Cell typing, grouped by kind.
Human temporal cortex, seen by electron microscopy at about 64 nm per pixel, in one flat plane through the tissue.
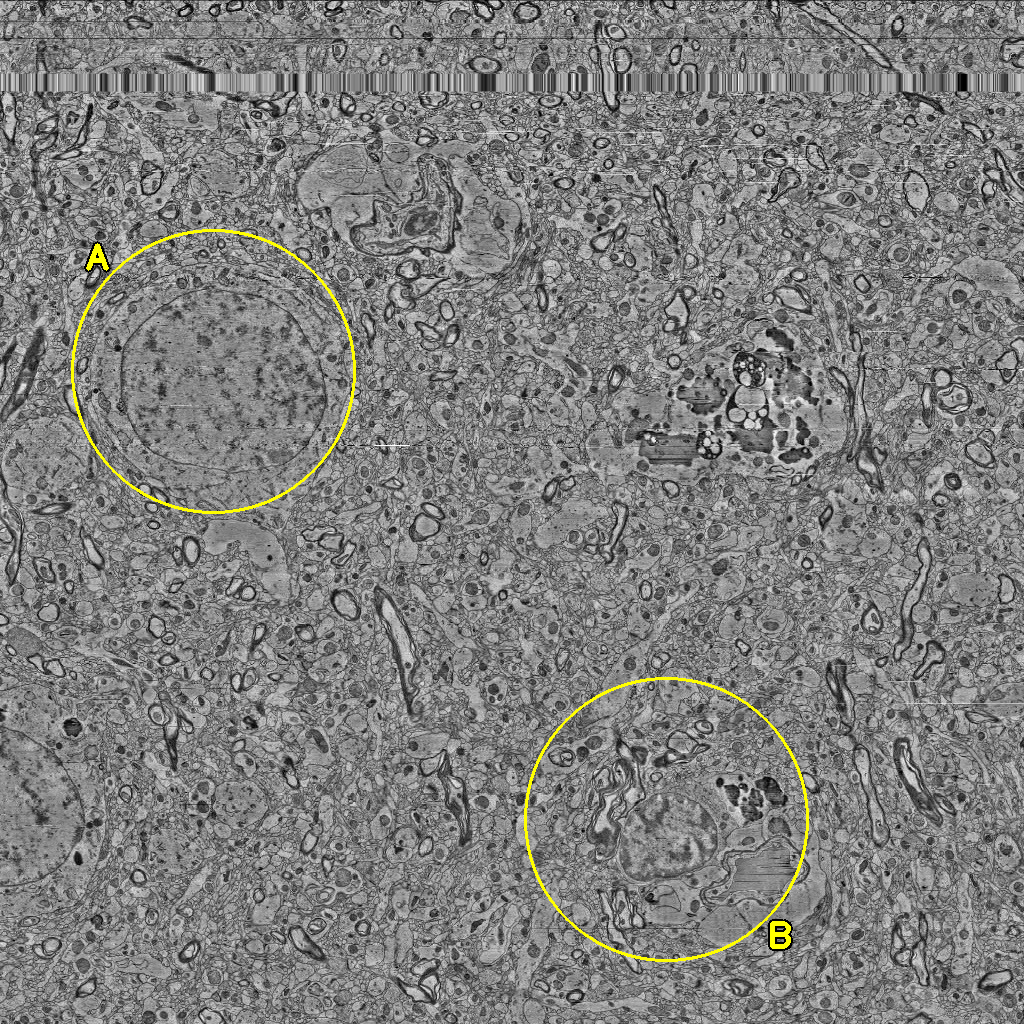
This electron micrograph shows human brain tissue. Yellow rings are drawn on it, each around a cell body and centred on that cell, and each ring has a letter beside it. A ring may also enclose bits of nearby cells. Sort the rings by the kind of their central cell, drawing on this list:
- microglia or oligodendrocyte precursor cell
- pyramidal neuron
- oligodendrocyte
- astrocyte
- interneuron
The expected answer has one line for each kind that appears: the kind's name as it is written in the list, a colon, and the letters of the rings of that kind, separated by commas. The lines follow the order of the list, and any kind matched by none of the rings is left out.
pyramidal neuron: A
oligodendrocyte: B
